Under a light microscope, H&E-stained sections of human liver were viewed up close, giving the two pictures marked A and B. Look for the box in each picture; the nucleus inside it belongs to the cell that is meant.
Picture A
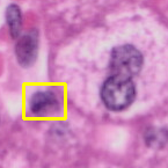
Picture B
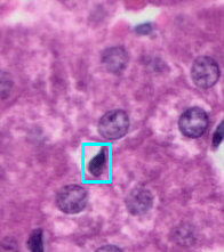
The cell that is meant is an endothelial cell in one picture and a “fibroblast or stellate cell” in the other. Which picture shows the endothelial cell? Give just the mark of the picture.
B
